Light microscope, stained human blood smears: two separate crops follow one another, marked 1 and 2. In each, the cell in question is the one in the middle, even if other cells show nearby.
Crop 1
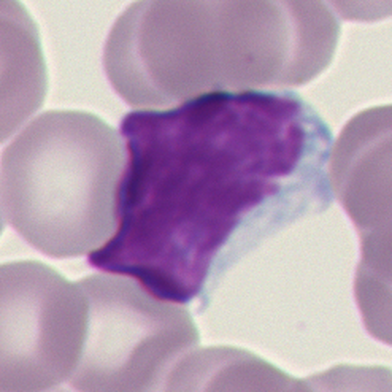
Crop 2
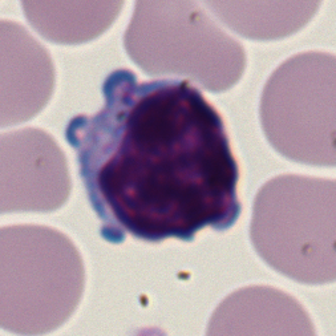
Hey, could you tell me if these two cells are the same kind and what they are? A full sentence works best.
Yes, it is typical lymphocytes that both crops show.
